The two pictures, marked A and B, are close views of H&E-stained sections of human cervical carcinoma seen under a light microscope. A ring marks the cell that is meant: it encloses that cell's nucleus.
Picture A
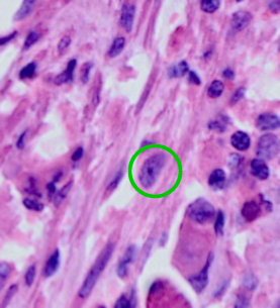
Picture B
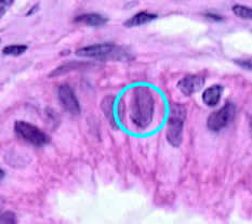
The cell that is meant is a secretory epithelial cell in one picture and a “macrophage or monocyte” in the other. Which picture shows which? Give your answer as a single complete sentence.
The cell in picture A is a “macrophage or monocyte”, and the one in picture B is a secretory epithelial cell.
